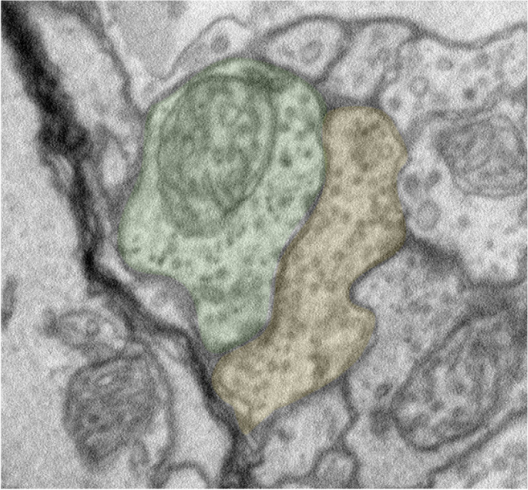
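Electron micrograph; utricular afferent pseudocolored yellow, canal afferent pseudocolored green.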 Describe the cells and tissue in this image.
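Axo-axonic contact in neuropil: a narrow yellow-tinted axon profile lies alongside a larger green-tinted axon profile. The green profile contains a large rounded membrane-bound organelle. A dark band of myelin-like membranes runs along the left edge, with other processes and a mitochondrion nearby.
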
